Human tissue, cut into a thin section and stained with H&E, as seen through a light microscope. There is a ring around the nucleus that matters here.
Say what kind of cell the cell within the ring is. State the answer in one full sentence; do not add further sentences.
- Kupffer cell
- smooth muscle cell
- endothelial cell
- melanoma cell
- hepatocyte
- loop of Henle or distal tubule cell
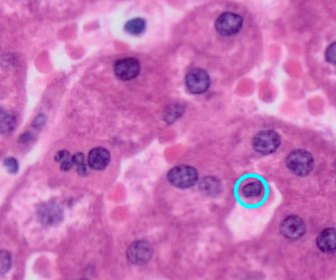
The classification of the cell within the ring is as a Kupffer cell.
